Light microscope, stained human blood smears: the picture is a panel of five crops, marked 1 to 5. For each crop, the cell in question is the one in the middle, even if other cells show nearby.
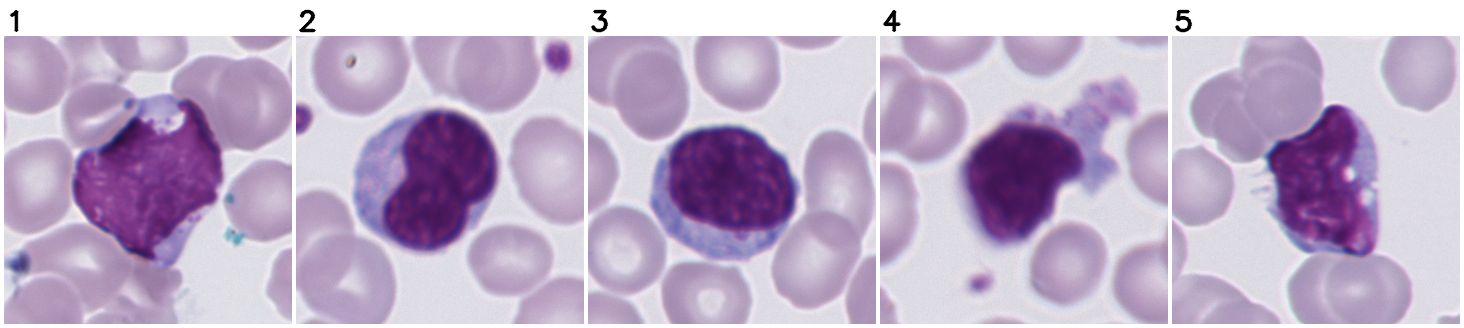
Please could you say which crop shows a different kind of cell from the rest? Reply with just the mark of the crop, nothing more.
1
